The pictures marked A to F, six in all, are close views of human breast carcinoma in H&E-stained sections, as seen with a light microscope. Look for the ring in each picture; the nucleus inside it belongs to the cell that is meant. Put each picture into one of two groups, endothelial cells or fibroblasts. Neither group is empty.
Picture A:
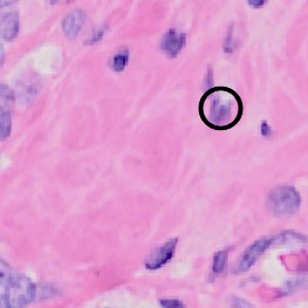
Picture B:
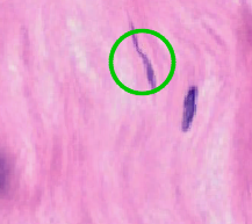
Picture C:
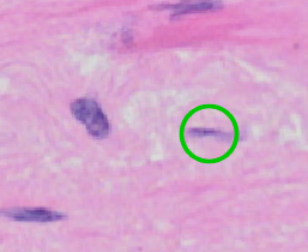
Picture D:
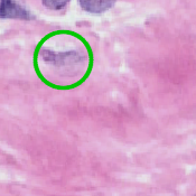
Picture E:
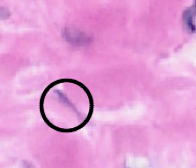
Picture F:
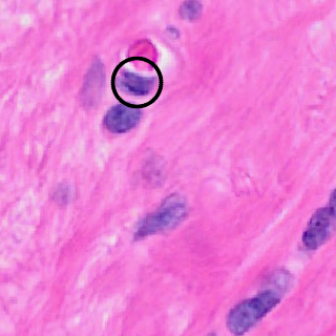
A: endothelial cell
B: fibroblast
C: fibroblast
D: fibroblast
E: fibroblast
F: endothelial cell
